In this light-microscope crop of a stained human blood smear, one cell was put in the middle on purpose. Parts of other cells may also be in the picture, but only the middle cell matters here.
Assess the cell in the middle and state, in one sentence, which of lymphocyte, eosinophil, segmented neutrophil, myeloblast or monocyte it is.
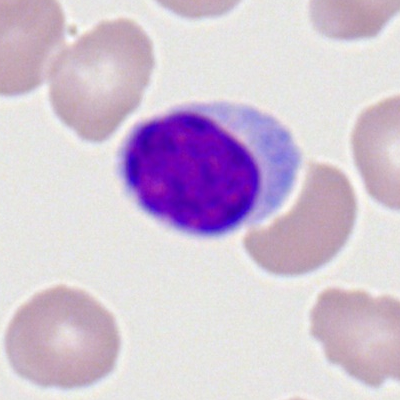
Here the cell in the middle is a lymphocyte.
